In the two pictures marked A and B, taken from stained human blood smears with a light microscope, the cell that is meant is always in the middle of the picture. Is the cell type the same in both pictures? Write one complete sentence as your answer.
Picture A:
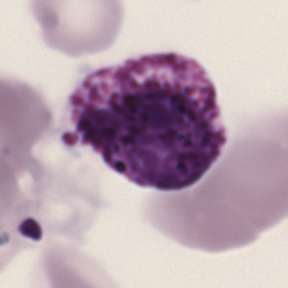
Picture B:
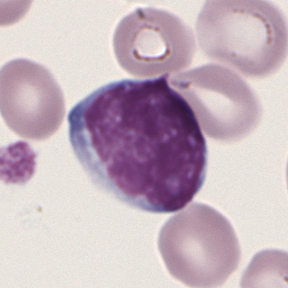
No, the types are not the same, since picture A shows a basophil and picture B a typical lymphocyte.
